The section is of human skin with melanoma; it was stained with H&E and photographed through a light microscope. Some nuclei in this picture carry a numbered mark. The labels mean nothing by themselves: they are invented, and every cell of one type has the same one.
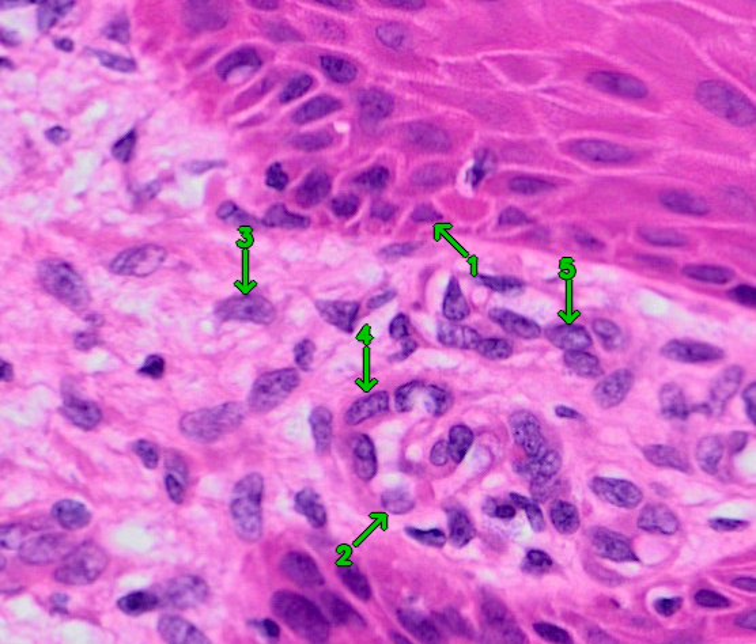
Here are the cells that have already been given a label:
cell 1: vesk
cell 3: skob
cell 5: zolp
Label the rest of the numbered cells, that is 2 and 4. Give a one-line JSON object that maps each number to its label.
{"2": "zolp", "4": "zolp"}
